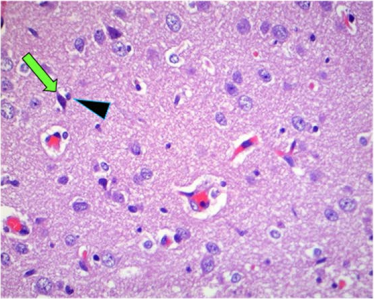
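Brain tissue at high magnification with neurons and glial cells scattered in a pale pink fibrillar neuropil. Small delicate vessels with red blood cells are present.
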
